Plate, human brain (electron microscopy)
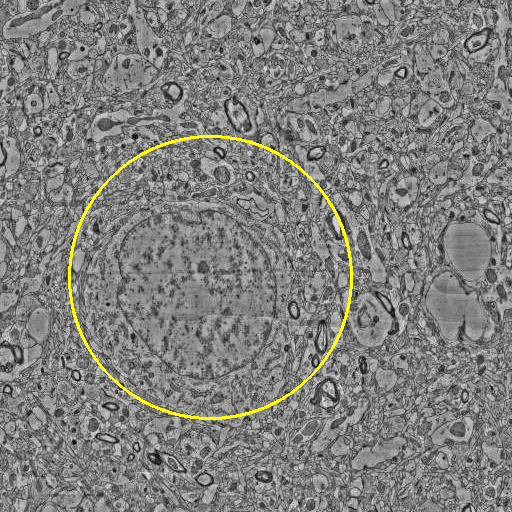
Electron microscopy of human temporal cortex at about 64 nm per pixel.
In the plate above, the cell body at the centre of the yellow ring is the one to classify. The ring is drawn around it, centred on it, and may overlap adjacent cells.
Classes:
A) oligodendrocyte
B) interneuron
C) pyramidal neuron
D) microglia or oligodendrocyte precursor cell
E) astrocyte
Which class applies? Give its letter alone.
B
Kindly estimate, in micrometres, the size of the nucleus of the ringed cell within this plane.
About 11 by 10 micrometers, in this plane.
